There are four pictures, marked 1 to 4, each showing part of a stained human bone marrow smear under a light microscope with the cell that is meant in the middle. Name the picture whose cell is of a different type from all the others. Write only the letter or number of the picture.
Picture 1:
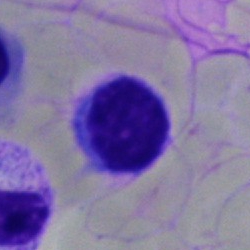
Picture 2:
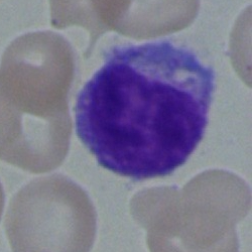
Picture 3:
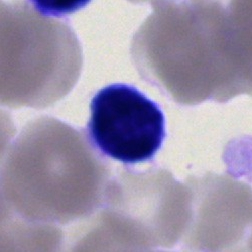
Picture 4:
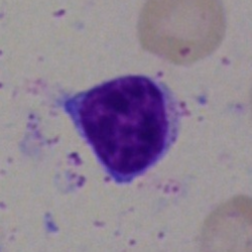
2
